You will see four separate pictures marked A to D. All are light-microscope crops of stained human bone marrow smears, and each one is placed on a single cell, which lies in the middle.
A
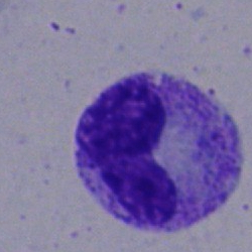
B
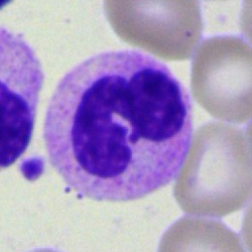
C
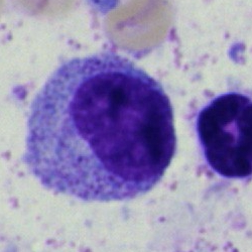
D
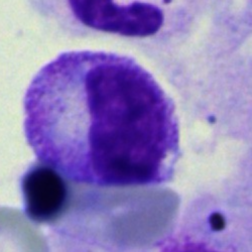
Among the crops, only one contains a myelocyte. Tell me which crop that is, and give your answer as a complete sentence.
The crop in which a myelocyte is shown is crop C.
